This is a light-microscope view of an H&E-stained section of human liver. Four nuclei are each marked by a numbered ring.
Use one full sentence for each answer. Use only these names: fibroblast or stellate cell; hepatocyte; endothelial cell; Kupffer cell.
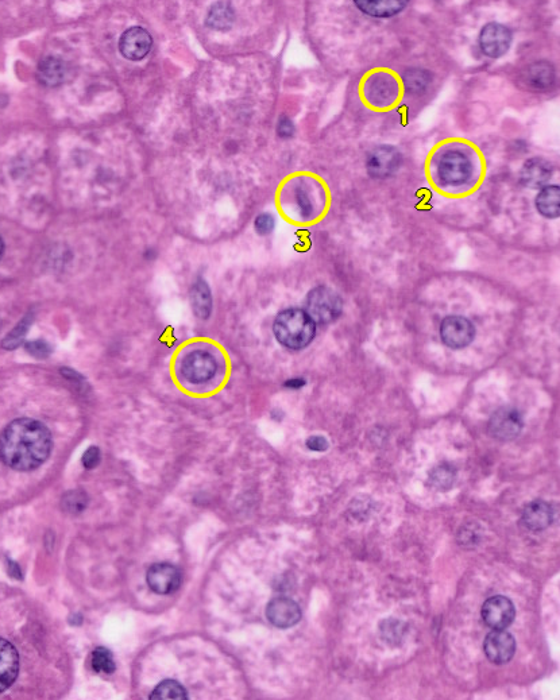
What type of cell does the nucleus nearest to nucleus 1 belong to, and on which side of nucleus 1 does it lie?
The nearest nucleus is that of a hepatocyte and lies to the right of nucleus 1.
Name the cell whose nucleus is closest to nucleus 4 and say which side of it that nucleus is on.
Lying above nucleus 4, the nearest nucleus is that of a Kupffer cell.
